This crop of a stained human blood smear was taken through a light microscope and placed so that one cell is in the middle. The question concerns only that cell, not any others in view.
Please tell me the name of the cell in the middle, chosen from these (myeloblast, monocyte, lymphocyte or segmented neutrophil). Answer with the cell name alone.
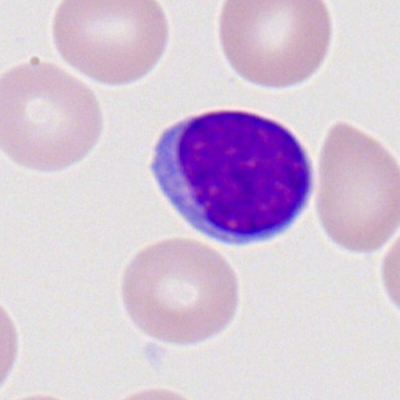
lymphocyte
